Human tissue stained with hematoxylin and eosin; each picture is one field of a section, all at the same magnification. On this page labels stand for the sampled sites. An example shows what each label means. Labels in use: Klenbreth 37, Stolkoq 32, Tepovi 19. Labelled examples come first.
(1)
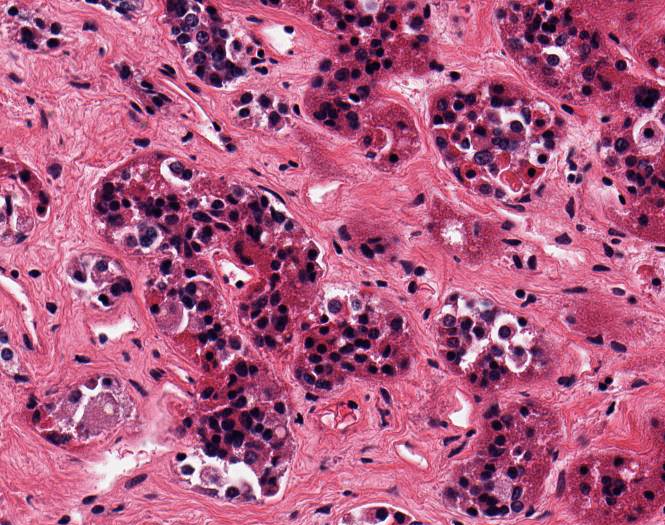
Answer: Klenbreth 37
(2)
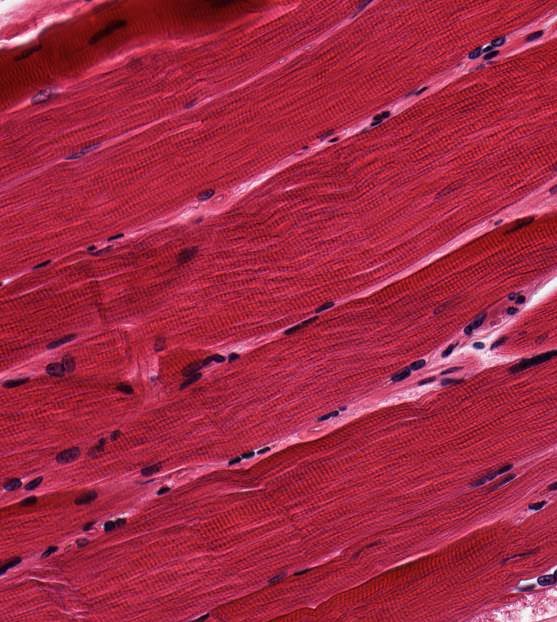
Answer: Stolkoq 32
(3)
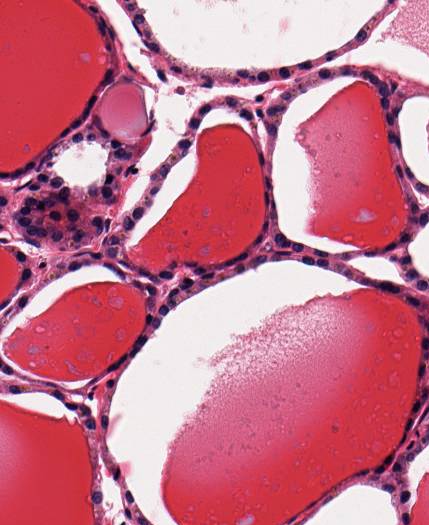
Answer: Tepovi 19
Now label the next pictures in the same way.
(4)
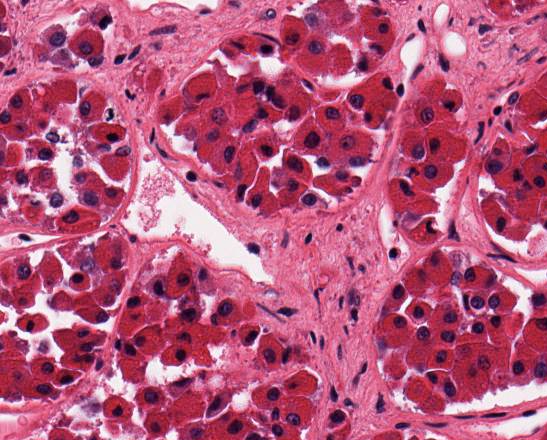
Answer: Klenbreth 37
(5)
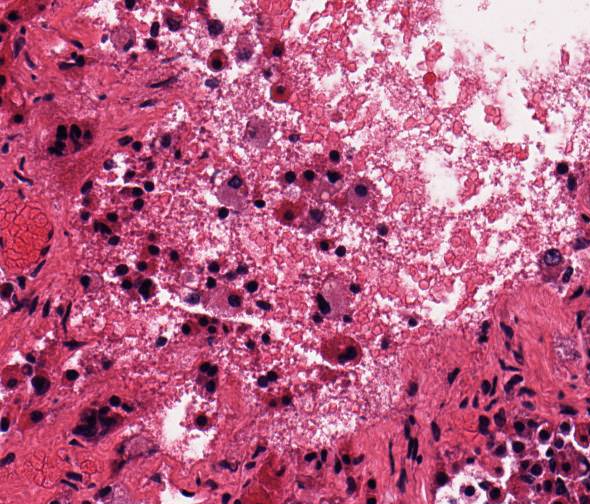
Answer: Klenbreth 37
